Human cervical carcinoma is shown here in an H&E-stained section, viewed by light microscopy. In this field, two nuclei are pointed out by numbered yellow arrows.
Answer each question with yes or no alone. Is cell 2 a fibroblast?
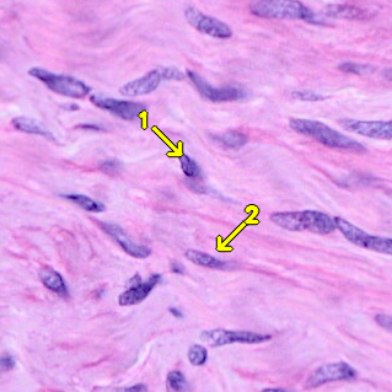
no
